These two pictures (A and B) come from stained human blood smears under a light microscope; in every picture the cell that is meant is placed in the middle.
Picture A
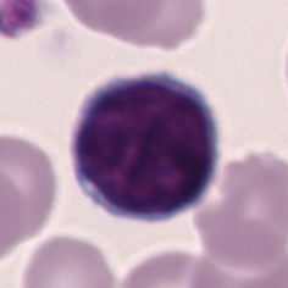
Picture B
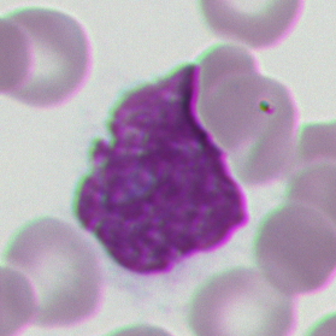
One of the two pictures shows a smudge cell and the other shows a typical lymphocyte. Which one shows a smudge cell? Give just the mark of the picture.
B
